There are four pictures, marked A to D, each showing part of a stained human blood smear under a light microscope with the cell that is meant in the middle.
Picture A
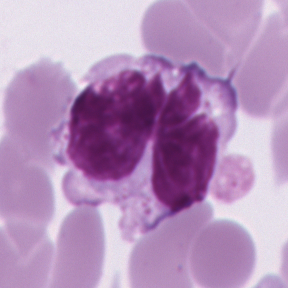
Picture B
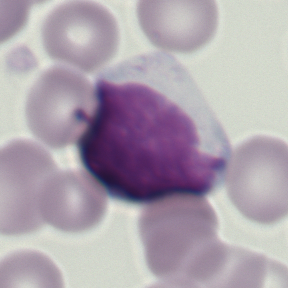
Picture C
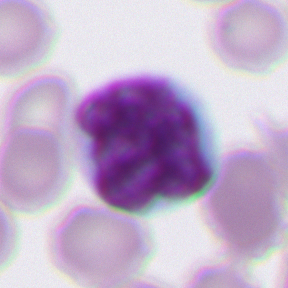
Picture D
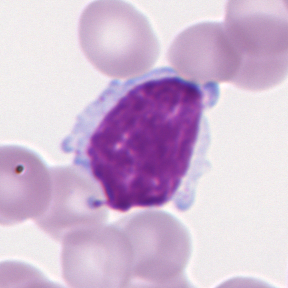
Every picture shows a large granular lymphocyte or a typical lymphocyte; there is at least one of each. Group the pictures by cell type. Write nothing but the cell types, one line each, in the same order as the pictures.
large granular lymphocyte
large granular lymphocyte
typical lymphocyte
large granular lymphocyte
